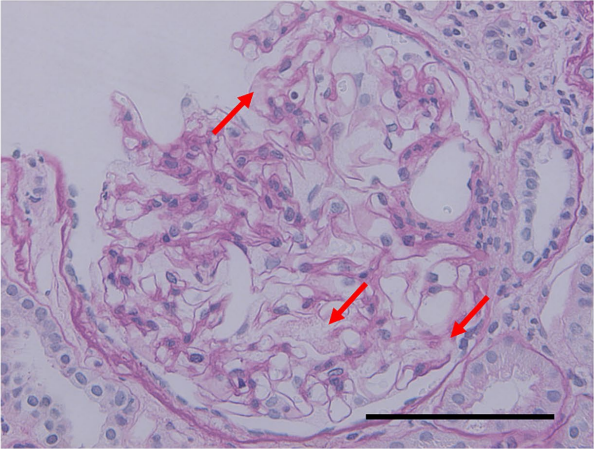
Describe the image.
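A glomerulus is shown in a kidney section stained magenta and blue, surrounded by tubules. The capillary loops have thin magenta walls and scattered blue nuclei. Along the outer aspect of the loops, facing the open urinary space, lie enlarged podocytes with pale, foamy, finely vacuolated cytoplasm; several are pointed out by red arrows. These swollen cells give parts of the tuft a bubbly, washed-out appearance. Bowman's capsule forms a thin magenta rim around the tuft, and the neighbouring tubules show cuboidal epithelial cells with round blue nuclei.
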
